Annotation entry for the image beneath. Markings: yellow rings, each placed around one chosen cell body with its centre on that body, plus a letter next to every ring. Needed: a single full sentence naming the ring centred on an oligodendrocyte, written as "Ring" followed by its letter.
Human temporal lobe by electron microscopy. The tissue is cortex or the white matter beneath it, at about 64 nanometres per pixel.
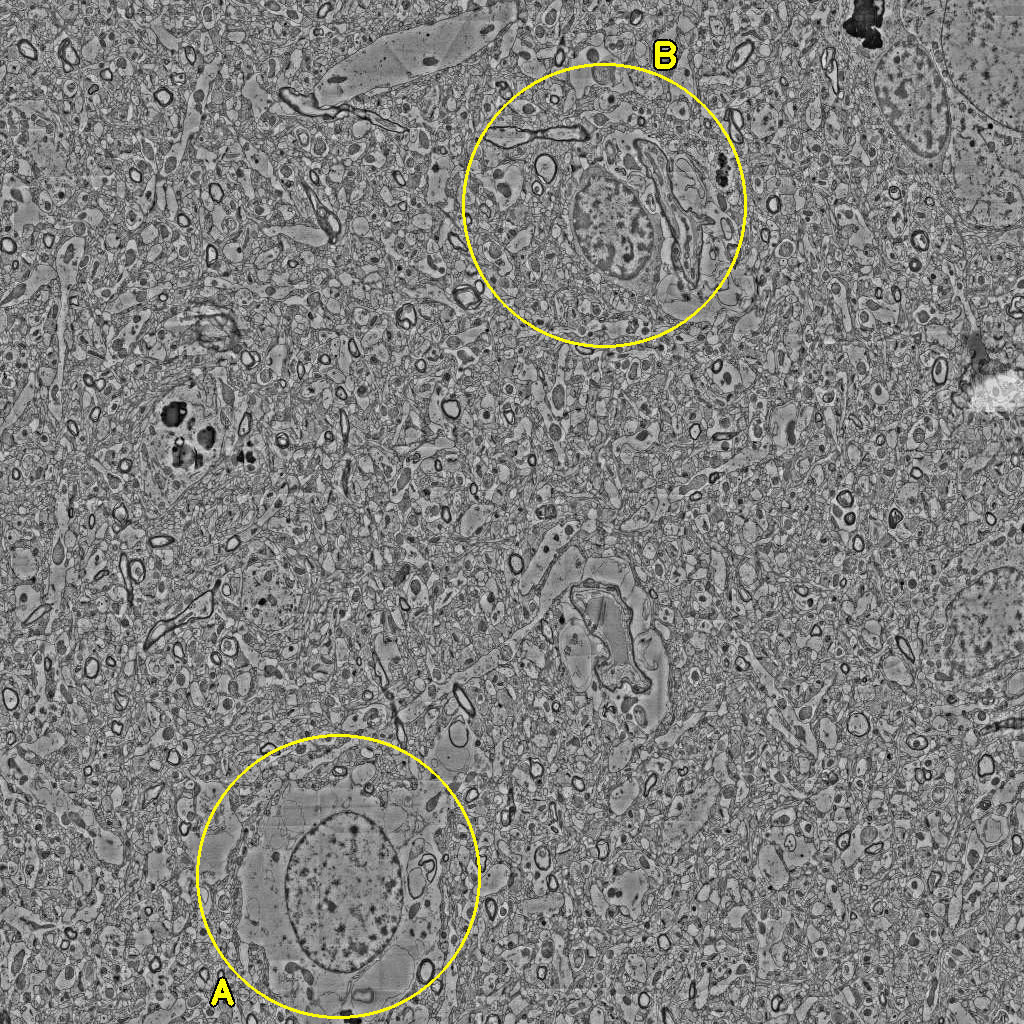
The image shows the cell in question at the centre of Ring B.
